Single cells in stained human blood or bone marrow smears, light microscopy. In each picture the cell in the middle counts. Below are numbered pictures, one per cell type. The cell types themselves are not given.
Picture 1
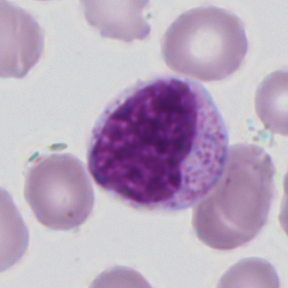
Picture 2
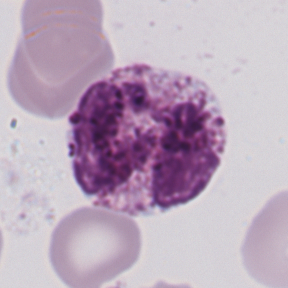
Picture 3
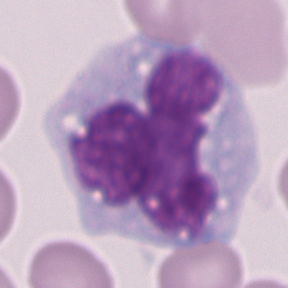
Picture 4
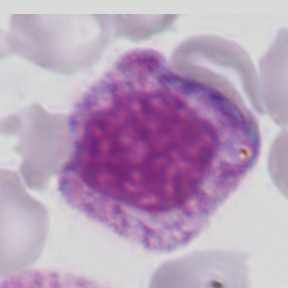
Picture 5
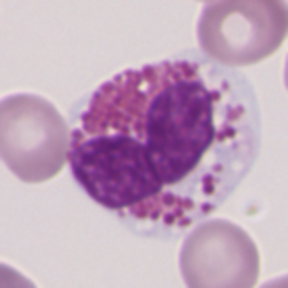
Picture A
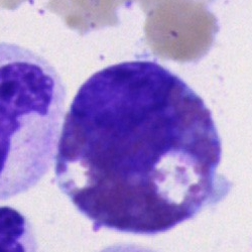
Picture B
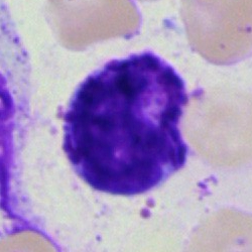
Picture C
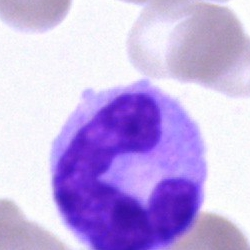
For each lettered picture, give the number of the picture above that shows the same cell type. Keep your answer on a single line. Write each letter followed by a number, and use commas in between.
A 5, B 2, C 3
